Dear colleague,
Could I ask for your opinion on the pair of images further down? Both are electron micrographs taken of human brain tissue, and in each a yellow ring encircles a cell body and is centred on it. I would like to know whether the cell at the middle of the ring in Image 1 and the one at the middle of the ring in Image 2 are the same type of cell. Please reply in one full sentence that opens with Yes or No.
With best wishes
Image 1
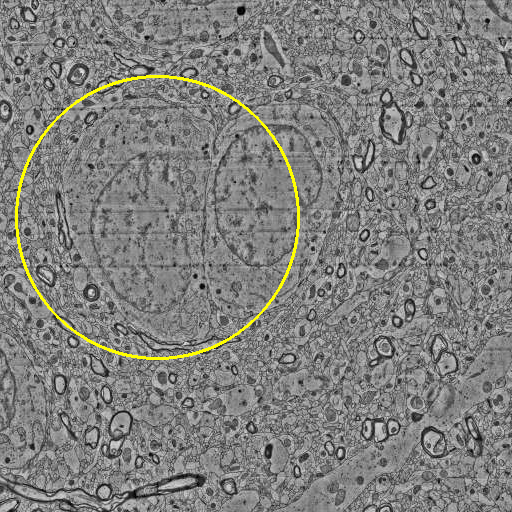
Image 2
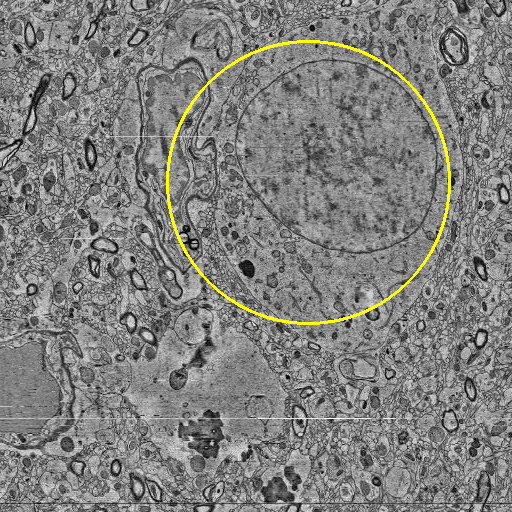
No, the cells at the ring centres in Image 1 and Image 2 are of two types.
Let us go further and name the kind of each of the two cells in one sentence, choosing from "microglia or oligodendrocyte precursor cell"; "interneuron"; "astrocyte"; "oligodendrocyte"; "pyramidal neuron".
The ring of the first picture is on an interneuron, the ring of the second on a pyramidal neuron.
